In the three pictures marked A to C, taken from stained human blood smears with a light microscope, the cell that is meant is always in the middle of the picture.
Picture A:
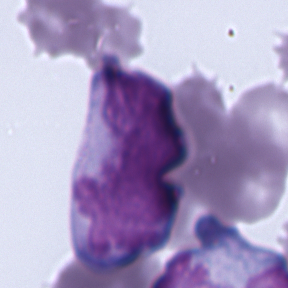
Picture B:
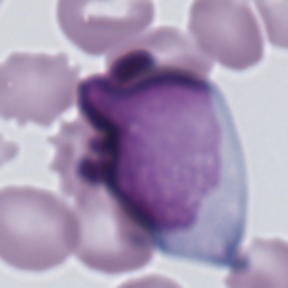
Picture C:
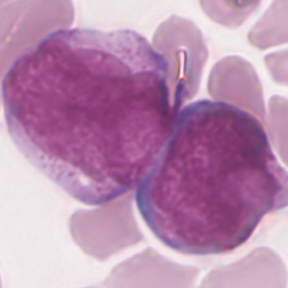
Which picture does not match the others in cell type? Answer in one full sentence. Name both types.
The different one is picture C; it shows an atypical promyelocyte, whereas all the others show myeloblasts.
